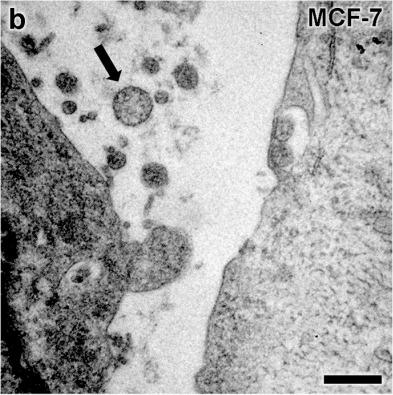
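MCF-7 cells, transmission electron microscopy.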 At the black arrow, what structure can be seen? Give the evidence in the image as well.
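Small round membrane-bound bodies lie in the gap between two cells. They vary in density, some pale, some dark.
Hence: vesicular structures.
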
